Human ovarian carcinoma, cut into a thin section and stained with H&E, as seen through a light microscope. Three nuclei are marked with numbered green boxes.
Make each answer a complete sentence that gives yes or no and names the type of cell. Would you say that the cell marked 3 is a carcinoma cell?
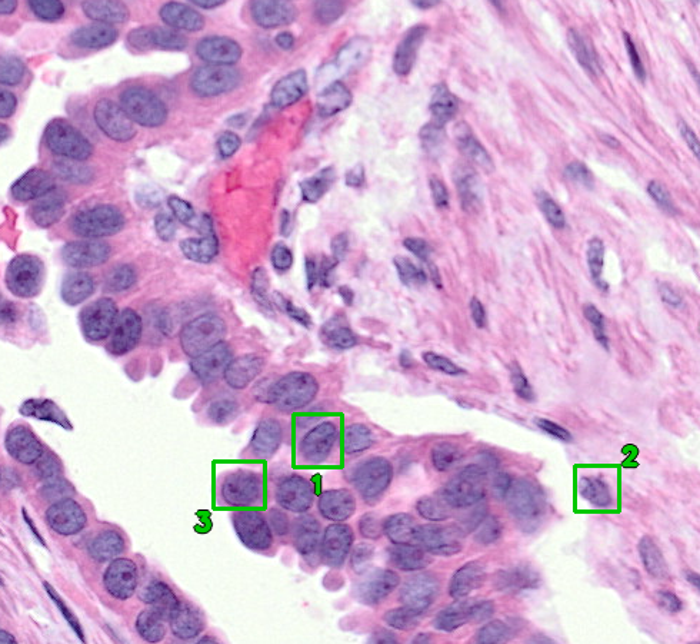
Yes, cell number 3 in this section is a carcinoma cell.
